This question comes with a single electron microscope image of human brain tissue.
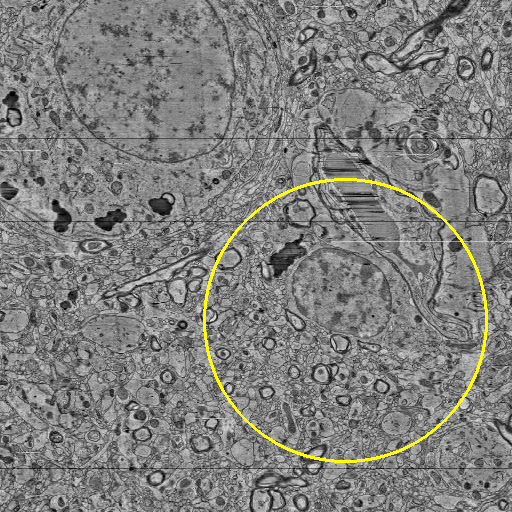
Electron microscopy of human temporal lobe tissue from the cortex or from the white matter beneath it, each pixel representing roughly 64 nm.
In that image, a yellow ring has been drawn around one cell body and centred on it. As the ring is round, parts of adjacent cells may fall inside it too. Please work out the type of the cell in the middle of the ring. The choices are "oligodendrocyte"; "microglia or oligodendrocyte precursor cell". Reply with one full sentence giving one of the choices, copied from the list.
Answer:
Of the choices, an oligodendrocyte is the cell sitting in the middle of the ring.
